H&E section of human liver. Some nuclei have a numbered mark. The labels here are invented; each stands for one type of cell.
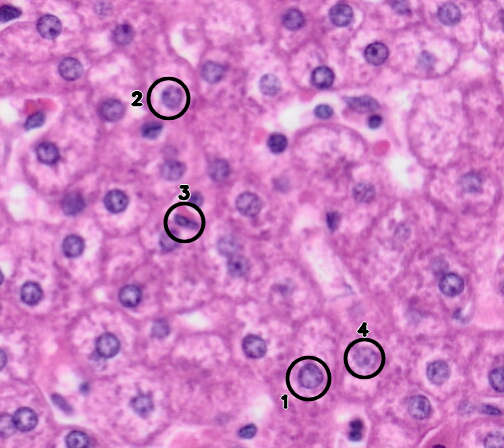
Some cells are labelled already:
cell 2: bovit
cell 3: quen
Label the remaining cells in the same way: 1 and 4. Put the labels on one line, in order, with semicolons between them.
bovit; bovit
